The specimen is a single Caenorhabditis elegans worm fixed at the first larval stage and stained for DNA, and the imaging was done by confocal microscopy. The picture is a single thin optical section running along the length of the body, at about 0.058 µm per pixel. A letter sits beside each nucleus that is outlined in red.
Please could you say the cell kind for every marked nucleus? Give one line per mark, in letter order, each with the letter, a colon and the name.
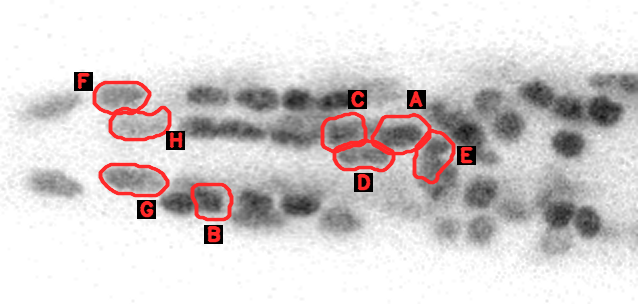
A: neuron
B: hypodermal cell (hyp)
C: pharyngeal epithelial cell
D: pharyngeal muscle cell
E: pharyngeal muscle cell
F: hypodermal cell (hyp)
G: pharyngeal epithelial cell
H: pharyngeal epithelial cell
